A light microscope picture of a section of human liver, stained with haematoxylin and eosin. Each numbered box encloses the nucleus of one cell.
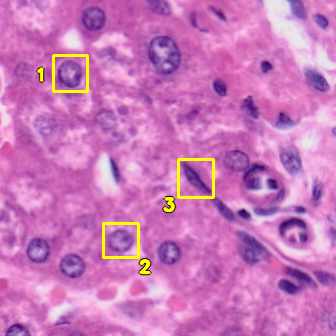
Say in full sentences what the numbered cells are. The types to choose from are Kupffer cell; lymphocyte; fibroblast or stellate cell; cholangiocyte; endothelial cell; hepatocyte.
Cell 1 is a hepatocyte, cell 2 is a hepatocyte and cell 3 is a fibroblast or stellate cell.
